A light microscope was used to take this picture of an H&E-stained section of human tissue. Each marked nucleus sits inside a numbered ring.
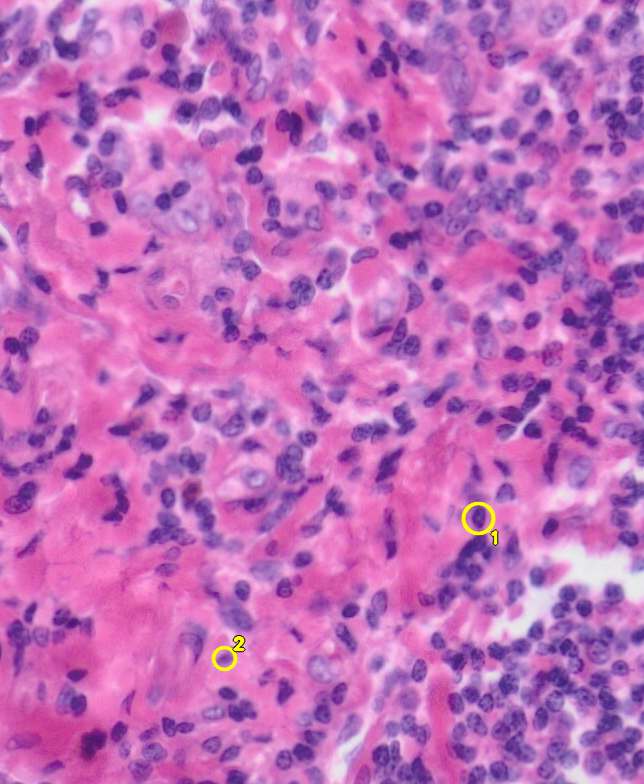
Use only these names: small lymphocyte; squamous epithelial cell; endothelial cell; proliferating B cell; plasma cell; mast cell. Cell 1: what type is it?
plasma cell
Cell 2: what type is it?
mast cell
